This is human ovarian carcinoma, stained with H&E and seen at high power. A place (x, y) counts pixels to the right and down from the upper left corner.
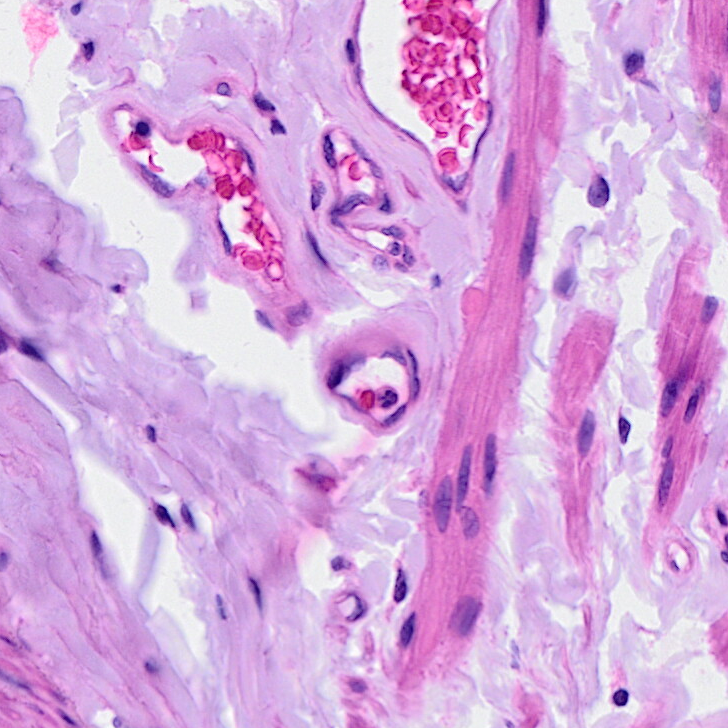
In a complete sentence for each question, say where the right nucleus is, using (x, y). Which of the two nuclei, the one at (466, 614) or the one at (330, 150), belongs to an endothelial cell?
The nucleus lying at (330, 150) is the nucleus of an endothelial cell.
